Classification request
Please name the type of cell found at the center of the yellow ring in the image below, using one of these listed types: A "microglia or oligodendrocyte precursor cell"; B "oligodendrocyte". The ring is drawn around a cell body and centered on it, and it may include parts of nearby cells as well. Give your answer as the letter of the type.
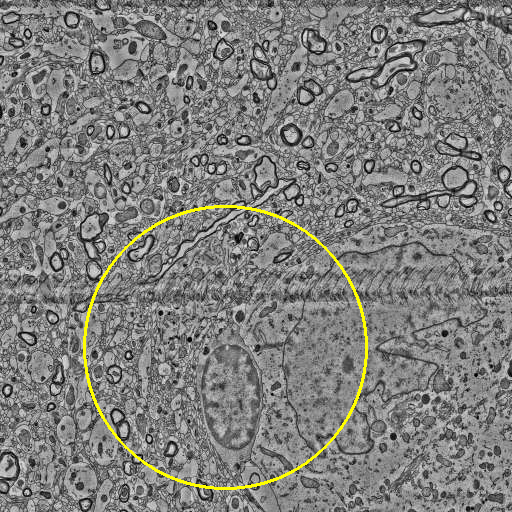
B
